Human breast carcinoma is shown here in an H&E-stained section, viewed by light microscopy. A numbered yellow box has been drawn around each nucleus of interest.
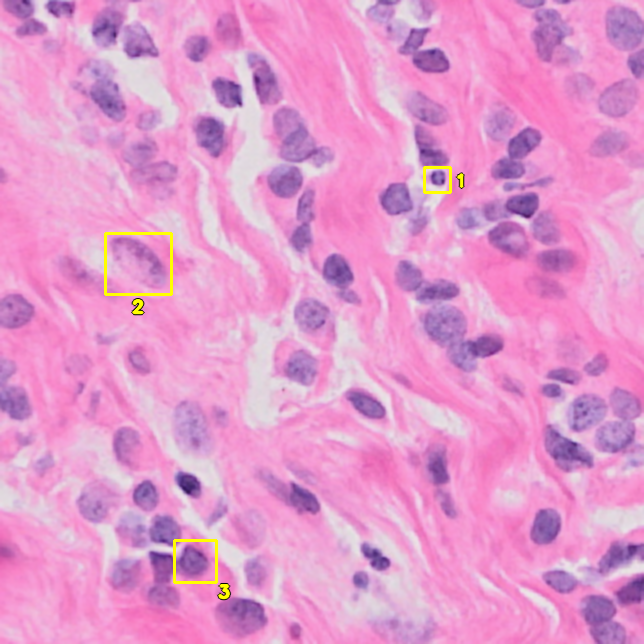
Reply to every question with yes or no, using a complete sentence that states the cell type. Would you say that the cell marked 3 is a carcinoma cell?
Yes, number 3 in this section denotes a carcinoma cell.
